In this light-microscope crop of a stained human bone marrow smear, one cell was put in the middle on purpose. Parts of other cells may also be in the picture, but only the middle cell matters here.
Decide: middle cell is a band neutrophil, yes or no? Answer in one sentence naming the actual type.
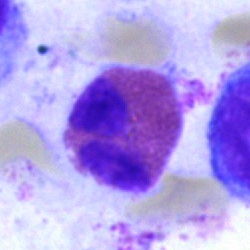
No, instead of being a band neutrophil, the middle cell is an eosinophil.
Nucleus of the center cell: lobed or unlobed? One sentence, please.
Multiple nuclear lobes, two or more, can be counted in this cell.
